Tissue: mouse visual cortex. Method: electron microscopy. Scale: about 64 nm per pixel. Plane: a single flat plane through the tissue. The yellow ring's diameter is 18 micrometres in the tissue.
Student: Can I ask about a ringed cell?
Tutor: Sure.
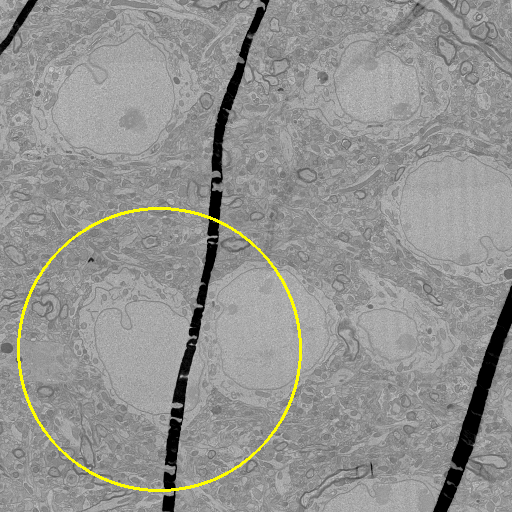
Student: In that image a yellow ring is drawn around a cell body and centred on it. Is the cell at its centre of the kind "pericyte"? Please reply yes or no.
No, the cell is of another kind.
